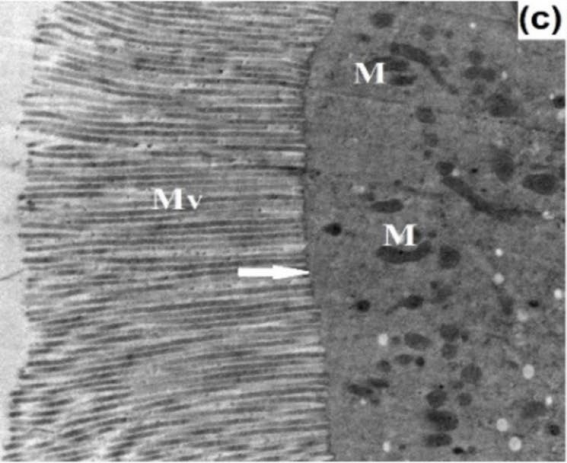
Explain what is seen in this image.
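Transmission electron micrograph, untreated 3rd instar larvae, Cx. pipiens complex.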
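This shows the apical part of a midgut epithelial cell, with a brush of very long, slender, tightly packed parallel microvilli filling the left half of the field. The microvilli rise from a sharp membrane line at the cell surface. Just beneath that surface the cytoplasm holds many dark oval and elongated mitochondria, along with a few small pale round vesicles.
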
